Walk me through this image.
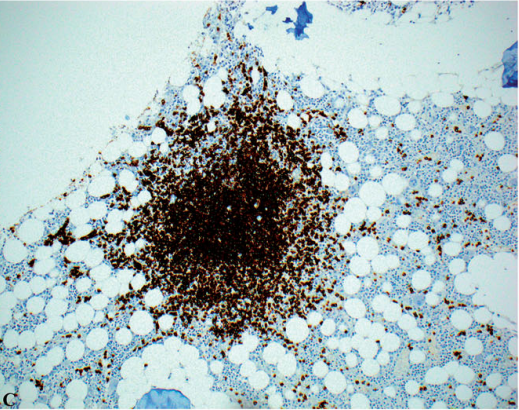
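The brown cells are packed densely in a central cluster, with a few scattered brown cells spreading into the surrounding marrow. The rest of the marrow cells are counterstained blue and lie between many round empty fat spaces.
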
